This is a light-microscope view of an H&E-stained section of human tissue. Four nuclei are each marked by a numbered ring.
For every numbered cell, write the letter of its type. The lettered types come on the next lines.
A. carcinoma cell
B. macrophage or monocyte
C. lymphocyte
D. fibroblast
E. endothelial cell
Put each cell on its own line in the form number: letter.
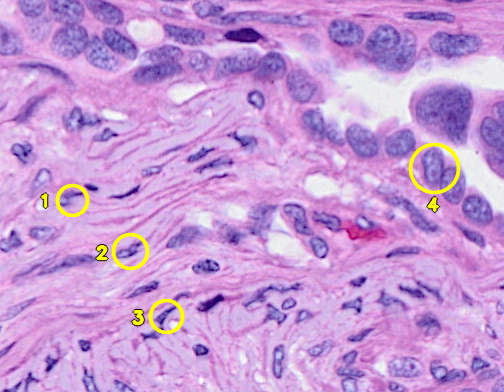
1: D
2: D
3: D
4: A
